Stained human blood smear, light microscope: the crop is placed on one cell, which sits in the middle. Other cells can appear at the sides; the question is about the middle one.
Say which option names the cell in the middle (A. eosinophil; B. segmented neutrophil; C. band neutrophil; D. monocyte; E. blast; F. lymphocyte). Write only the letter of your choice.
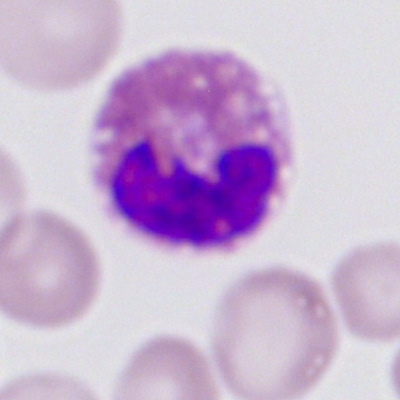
A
